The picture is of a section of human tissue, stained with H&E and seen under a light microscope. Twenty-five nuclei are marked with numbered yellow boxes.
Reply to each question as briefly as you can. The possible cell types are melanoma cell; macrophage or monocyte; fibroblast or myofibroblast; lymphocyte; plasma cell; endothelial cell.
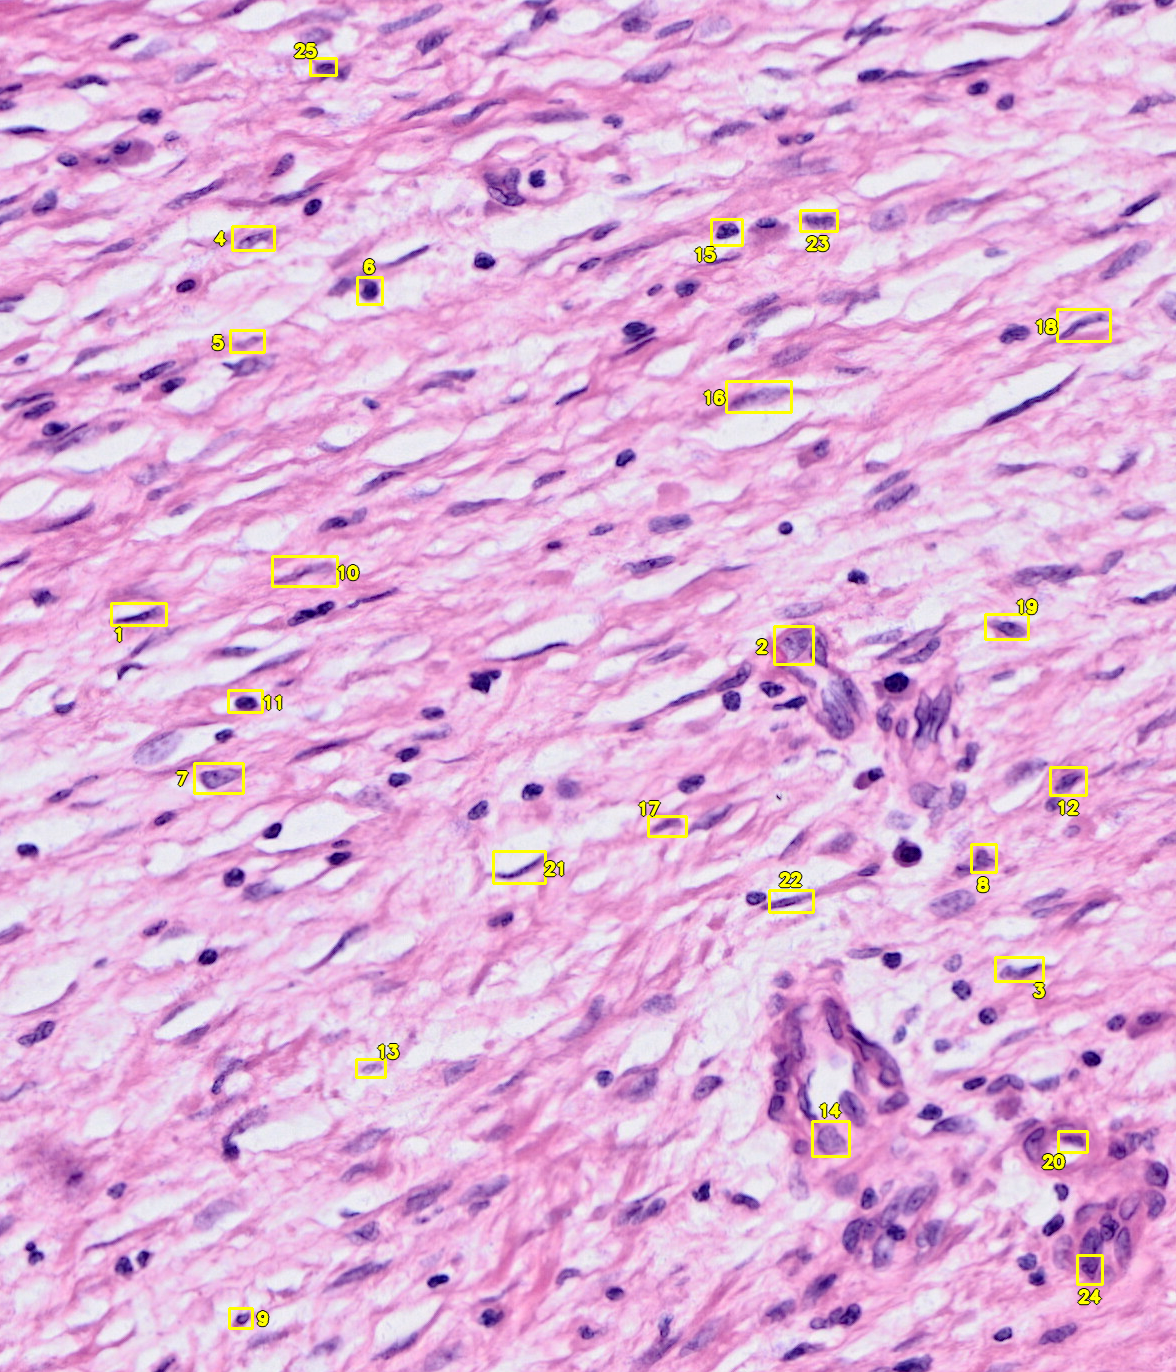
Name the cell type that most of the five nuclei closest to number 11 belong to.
fibroblast or myofibroblast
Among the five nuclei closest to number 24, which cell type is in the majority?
endothelial cell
